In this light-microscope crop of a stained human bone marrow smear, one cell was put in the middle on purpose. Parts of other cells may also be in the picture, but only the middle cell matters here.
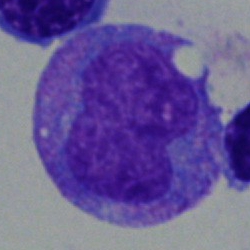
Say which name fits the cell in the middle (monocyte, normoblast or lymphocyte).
monocyte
